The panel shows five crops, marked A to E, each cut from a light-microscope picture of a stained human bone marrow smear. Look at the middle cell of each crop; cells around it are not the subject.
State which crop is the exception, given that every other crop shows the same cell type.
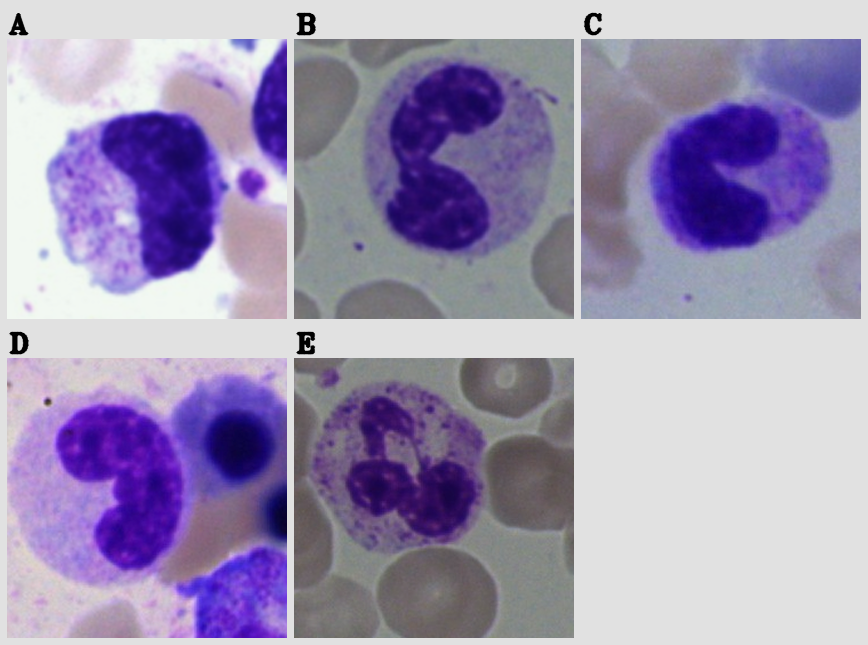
E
